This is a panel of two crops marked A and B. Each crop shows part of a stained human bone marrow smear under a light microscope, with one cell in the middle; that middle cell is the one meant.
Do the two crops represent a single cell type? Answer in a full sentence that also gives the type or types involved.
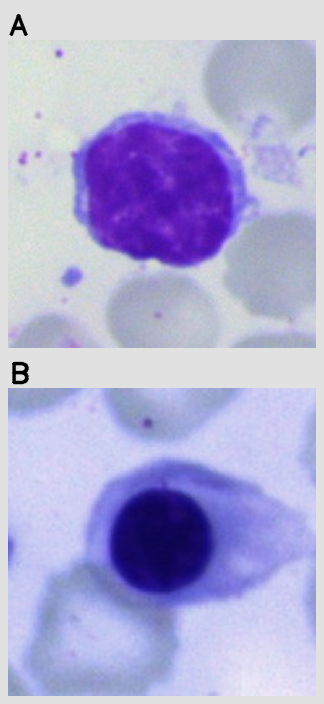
No, crop A is the one with a lymphocyte; crop B has an erythroblast.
